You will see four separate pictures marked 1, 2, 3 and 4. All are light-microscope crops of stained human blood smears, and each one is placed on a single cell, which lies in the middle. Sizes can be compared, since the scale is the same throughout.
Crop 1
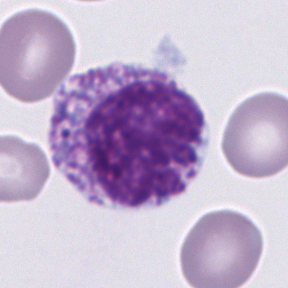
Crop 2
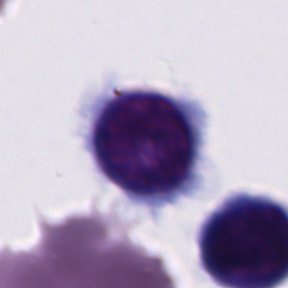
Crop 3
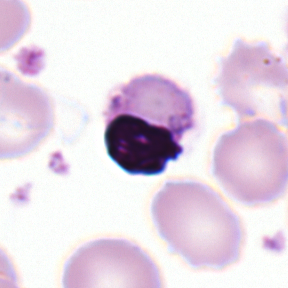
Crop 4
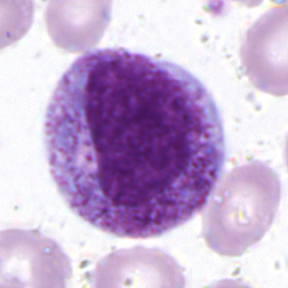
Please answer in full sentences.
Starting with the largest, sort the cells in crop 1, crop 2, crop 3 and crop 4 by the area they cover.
Largest first: 4, 1, 2, 3.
